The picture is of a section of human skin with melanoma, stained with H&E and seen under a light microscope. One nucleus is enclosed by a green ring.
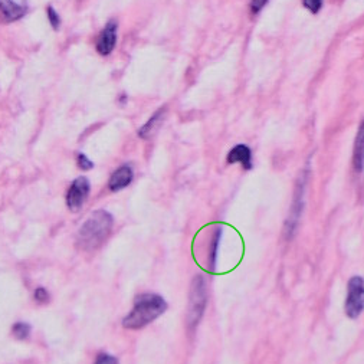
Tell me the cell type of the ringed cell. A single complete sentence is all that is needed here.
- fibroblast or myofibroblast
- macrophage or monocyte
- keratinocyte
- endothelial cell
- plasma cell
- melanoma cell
As far as its identity is concerned, the ringed cell is a fibroblast or myofibroblast.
